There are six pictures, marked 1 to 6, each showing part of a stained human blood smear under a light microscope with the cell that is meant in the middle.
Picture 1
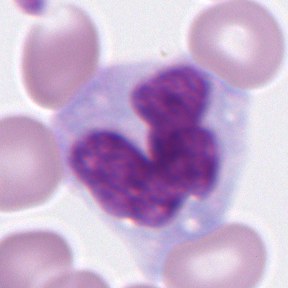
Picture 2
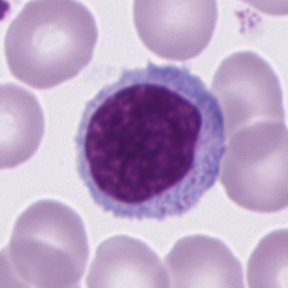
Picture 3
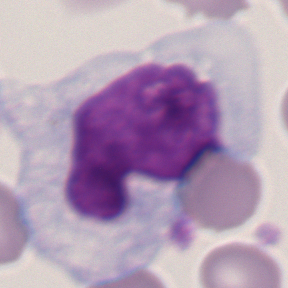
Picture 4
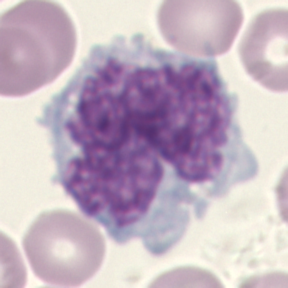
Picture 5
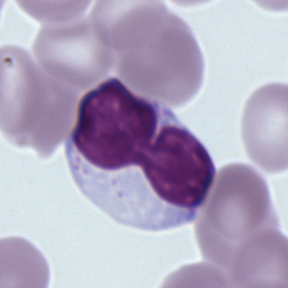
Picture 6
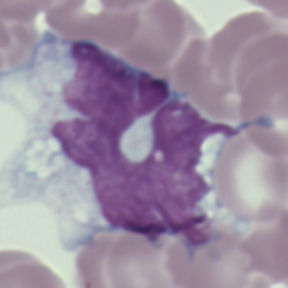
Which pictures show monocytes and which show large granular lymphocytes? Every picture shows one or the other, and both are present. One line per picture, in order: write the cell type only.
monocyte
large granular lymphocyte
monocyte
monocyte
large granular lymphocyte
monocyte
